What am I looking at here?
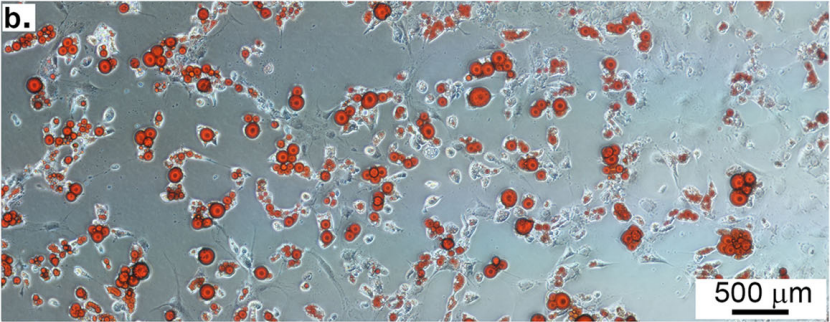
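Many cells are rounded and packed with bright red, spherical lipid droplets; some hold one or two large droplets, others clusters of smaller ones of varying size. Between them lie flattened, elongated or spindle-shaped cells with pale grey cytoplasm and no red droplets, seen against the grey phase background. The droplet-laden cells are scattered singly and in small groups, denser toward the left of the field, with open spaces between groups.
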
